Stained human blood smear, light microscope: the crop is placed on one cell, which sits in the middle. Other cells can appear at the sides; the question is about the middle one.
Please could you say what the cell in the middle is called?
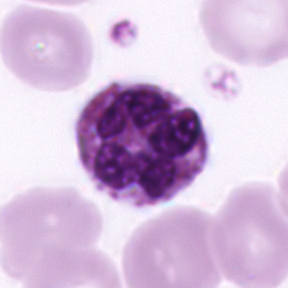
eosinophil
